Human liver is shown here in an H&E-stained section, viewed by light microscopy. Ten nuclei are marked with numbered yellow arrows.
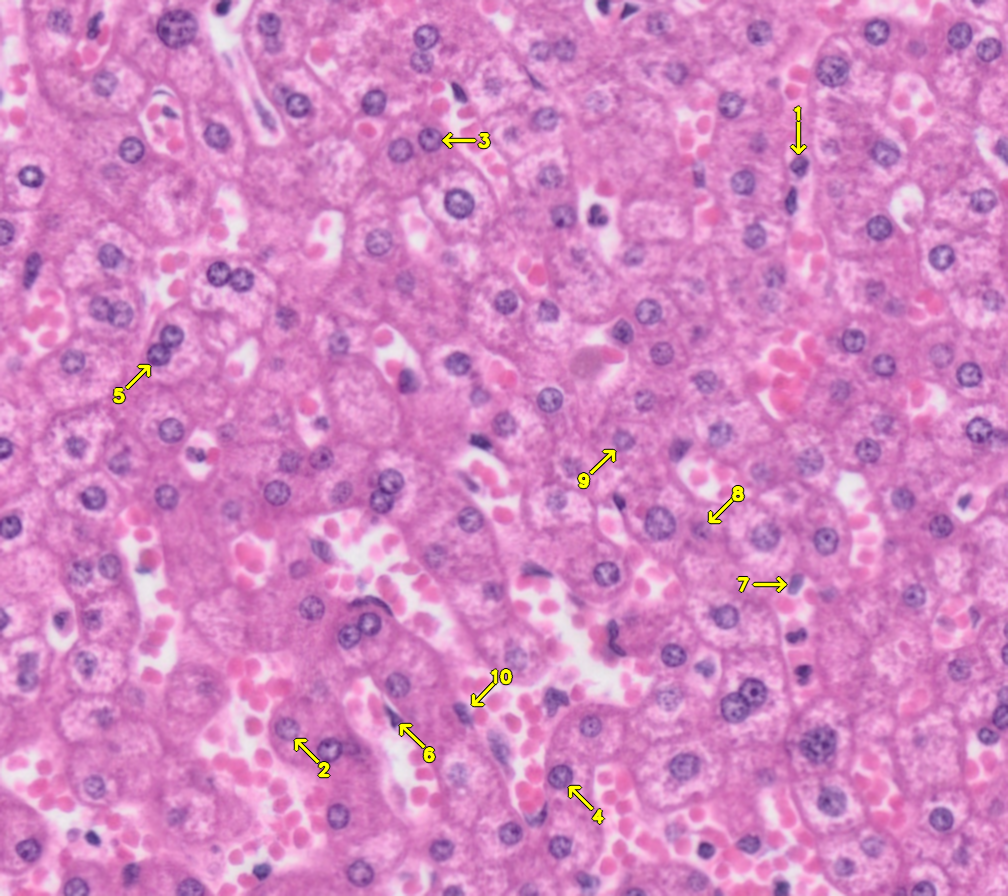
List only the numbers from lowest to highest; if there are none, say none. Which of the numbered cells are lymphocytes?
7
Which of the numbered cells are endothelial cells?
6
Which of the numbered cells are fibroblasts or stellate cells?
10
